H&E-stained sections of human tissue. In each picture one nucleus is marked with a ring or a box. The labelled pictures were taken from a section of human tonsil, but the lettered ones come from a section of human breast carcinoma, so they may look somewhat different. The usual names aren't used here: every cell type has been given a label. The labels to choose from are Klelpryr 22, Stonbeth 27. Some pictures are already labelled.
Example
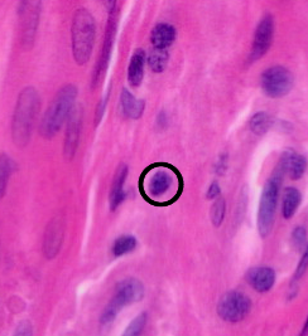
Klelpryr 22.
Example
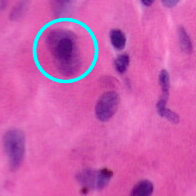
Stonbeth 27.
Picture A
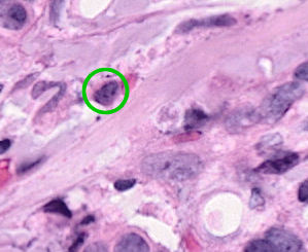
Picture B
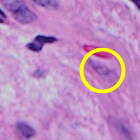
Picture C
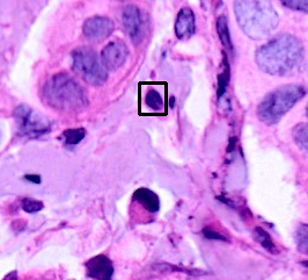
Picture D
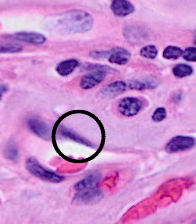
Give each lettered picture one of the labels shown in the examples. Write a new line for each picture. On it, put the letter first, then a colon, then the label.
A: Klelpryr 22.
B: Stonbeth 27.
C: Klelpryr 22.
D: Stonbeth 27.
